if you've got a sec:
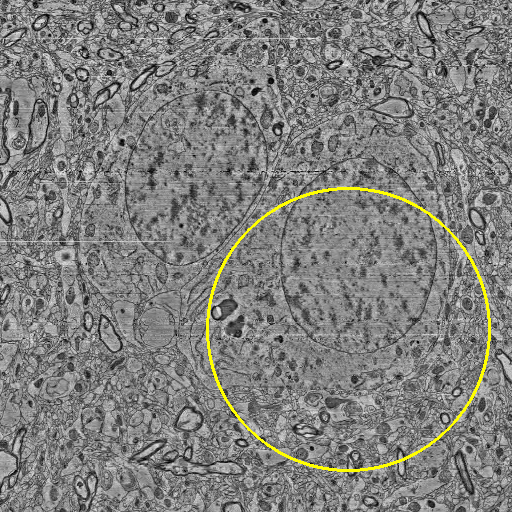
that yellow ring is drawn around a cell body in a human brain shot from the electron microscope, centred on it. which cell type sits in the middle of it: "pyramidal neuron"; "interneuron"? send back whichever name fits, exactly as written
pyramidal neuron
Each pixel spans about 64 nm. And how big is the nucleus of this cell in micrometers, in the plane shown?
In this plane, roughly 13 by 10 micrometres.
